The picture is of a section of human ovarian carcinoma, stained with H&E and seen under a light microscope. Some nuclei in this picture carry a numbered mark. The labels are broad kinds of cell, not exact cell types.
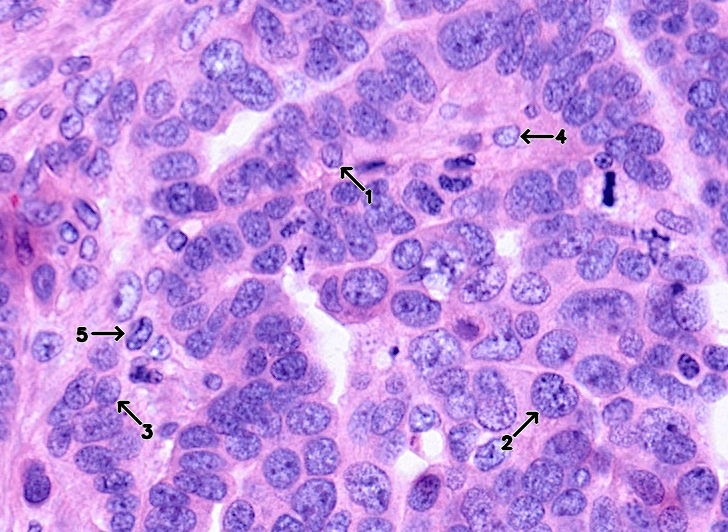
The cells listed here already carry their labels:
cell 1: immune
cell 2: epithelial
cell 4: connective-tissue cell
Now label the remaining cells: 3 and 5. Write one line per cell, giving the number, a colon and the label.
3: epithelial
5: immune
